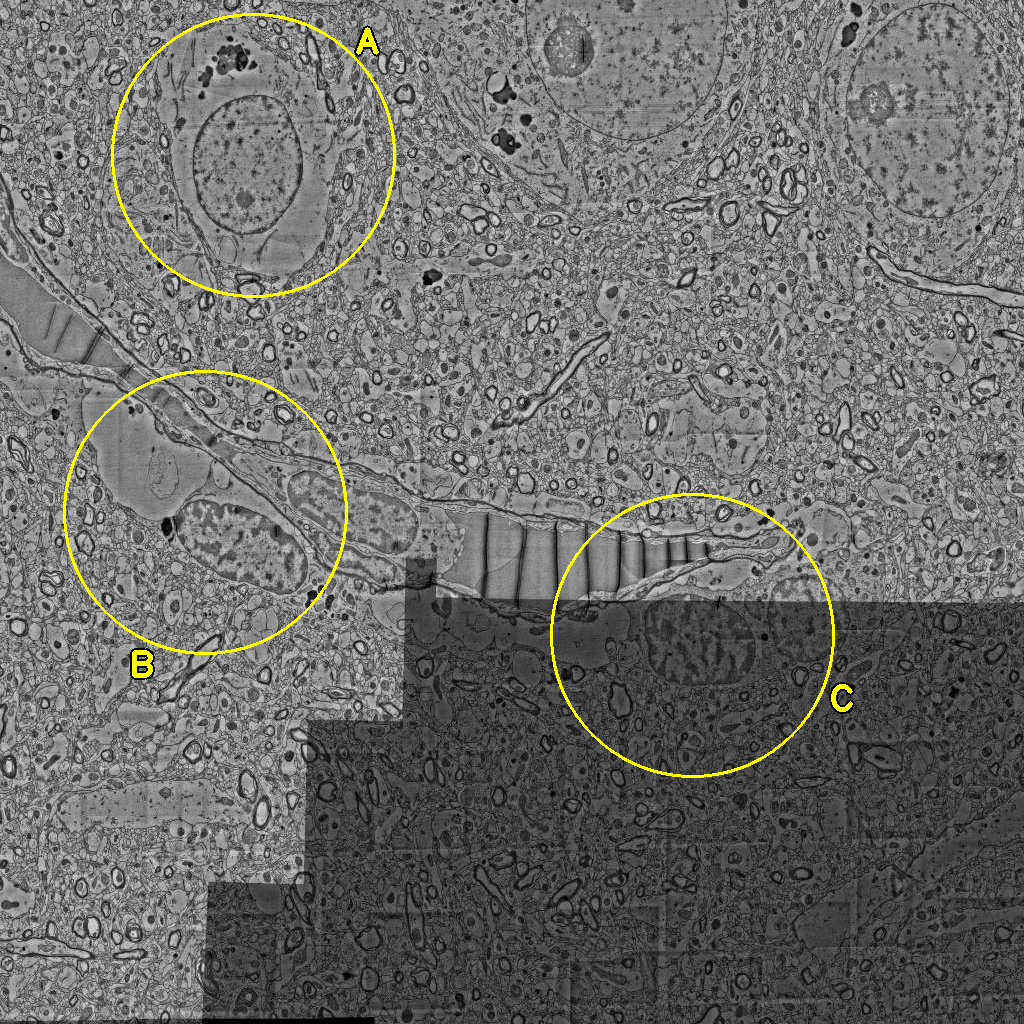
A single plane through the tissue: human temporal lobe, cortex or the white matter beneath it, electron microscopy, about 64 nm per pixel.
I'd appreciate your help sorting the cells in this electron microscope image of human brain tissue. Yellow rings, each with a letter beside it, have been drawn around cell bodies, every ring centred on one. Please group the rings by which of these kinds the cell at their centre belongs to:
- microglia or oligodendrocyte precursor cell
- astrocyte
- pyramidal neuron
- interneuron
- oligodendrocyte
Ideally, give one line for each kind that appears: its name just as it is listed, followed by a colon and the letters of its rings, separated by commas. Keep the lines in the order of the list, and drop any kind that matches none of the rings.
microglia or oligodendrocyte precursor cell: B
astrocyte: A
oligodendrocyte: C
